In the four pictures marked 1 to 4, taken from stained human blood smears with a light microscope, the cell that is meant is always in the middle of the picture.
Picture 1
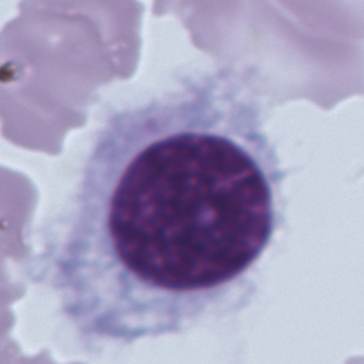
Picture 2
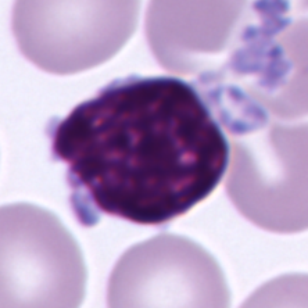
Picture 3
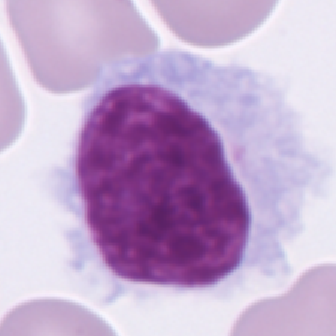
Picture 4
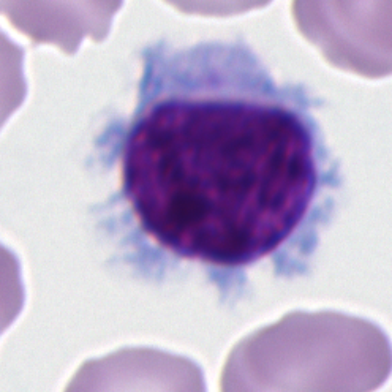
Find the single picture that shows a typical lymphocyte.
2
